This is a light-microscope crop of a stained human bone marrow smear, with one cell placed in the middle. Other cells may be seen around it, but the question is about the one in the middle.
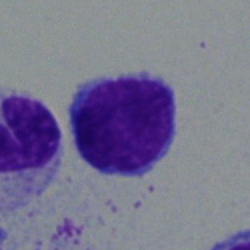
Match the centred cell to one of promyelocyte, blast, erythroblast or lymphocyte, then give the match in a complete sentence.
The cell the crop is centered on is a lymphocyte.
